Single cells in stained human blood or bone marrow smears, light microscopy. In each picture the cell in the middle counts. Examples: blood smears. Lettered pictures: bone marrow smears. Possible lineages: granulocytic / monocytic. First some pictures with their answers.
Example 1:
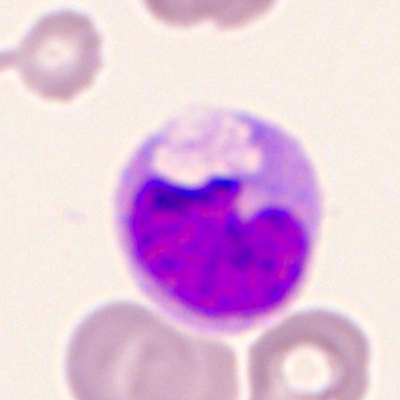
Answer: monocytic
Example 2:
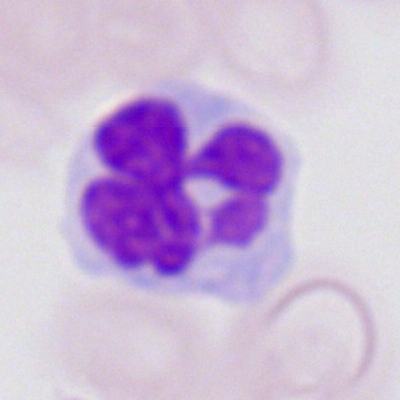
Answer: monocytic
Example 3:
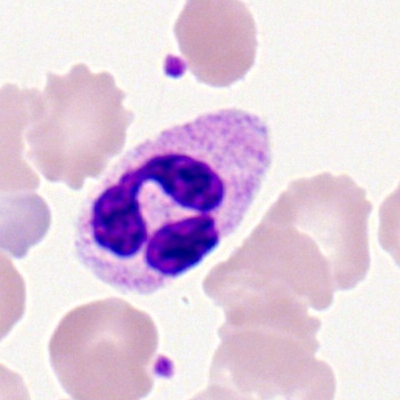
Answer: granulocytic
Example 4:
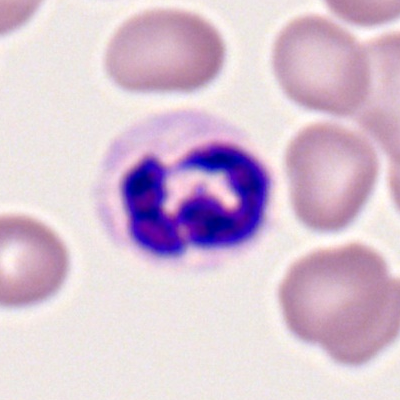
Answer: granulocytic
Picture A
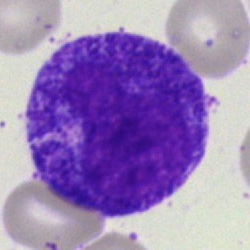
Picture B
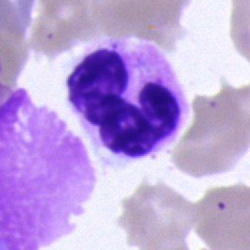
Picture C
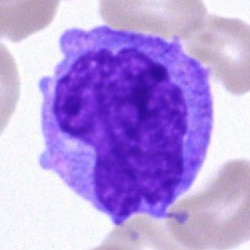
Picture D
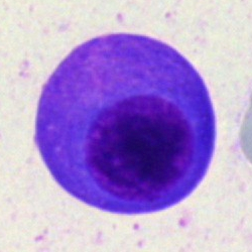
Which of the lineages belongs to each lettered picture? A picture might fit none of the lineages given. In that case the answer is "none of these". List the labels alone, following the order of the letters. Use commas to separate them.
granulocytic, granulocytic, monocytic, none of these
